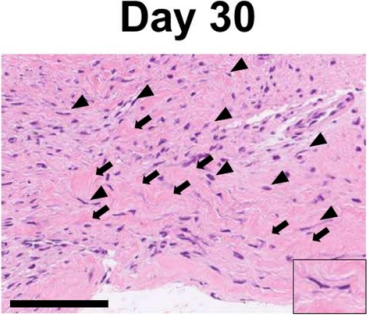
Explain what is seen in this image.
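The matrix is now dense and strongly pink, made of wavy bundles of fibers running in different directions. The spindle cells are numerous, with slender dark elongated nuclei and thin cytoplasm squeezed between the fibers, as the inset shows. There are few open spaces left, and the tissue looks compact and scar-like compared with loose granulation tissue.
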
